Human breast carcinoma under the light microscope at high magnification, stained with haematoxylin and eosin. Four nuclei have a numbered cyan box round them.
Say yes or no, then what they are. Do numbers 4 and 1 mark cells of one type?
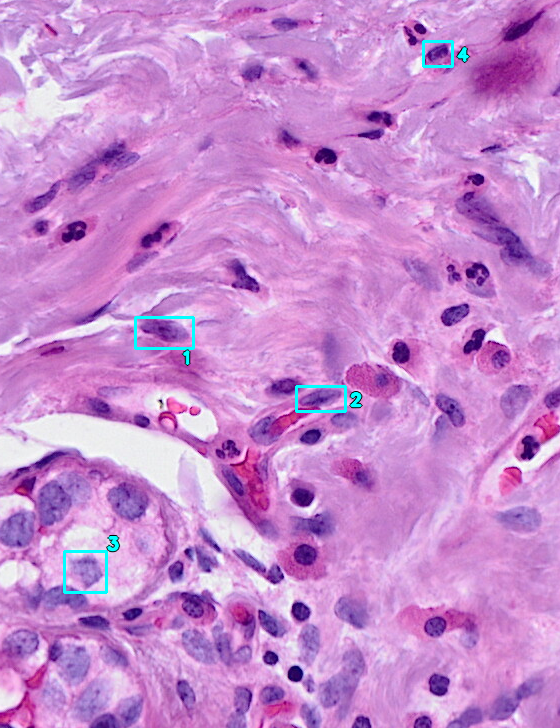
Yes, cells 4 and 1 are both classed as fibroblasts.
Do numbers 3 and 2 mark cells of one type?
No, a carcinoma cell is what cell 3 is, and an endothelial cell is what cell 2 is.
